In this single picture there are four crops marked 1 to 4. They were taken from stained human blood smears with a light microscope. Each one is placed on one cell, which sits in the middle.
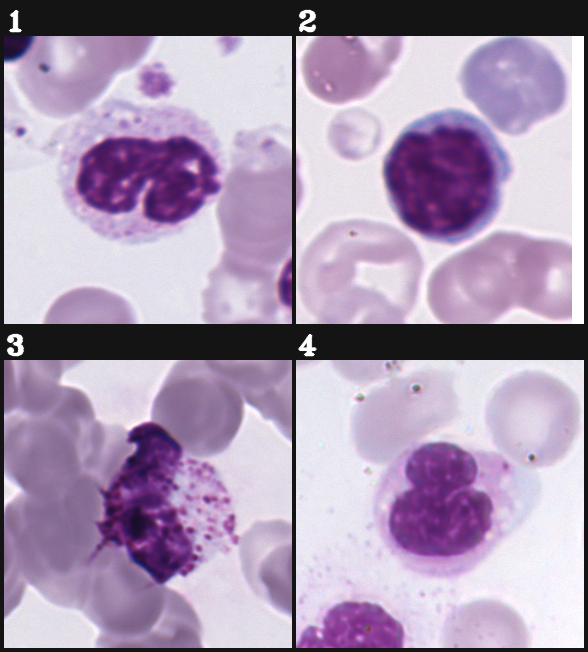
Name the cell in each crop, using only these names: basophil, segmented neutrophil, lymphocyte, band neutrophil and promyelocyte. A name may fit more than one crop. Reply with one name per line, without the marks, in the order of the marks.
band neutrophil
lymphocyte
basophil
band neutrophil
